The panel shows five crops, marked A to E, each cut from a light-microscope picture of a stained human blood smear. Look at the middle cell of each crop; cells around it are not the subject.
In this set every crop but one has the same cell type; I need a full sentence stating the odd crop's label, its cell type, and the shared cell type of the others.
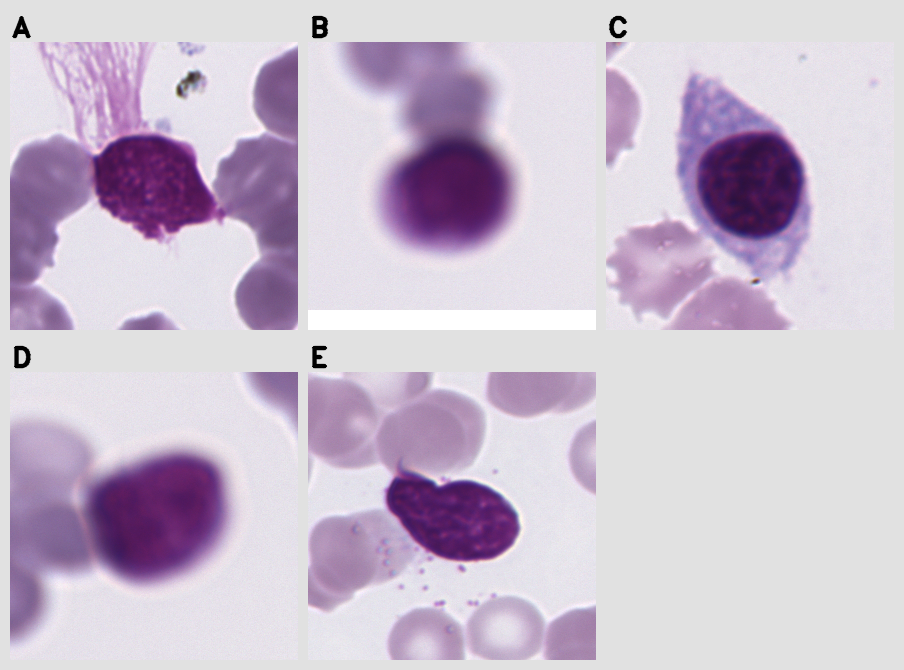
All the crops show smudge cells, barring crop C, which is a hairy cell.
